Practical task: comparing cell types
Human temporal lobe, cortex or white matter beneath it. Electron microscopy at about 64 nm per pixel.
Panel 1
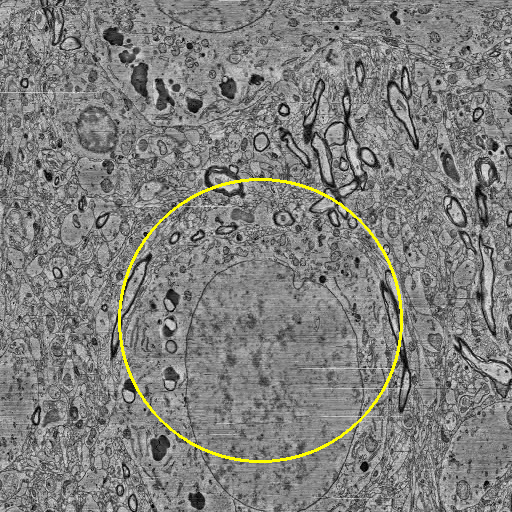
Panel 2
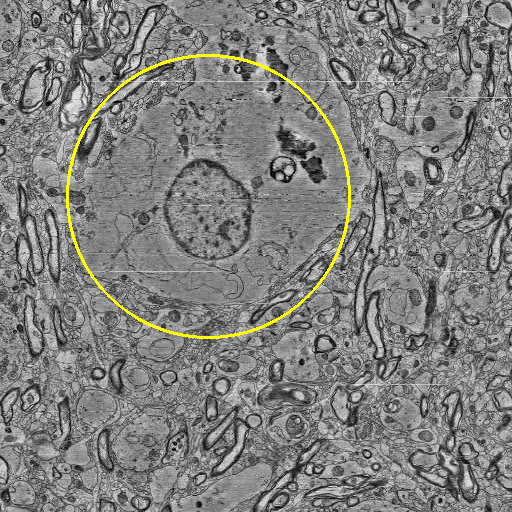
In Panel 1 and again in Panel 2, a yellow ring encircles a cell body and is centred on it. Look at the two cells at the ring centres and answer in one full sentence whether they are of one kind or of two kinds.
The two cells sitting at the ring centres of Panels 1 and 2 are of two kinds.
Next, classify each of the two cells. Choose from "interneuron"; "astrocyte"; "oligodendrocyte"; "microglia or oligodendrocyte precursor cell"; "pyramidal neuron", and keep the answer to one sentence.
In the first picture it is a pyramidal neuron; in the second it is an astrocyte.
